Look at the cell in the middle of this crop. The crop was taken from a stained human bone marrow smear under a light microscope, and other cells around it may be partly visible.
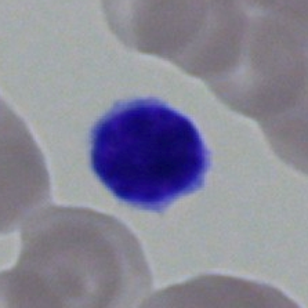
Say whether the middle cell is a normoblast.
no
